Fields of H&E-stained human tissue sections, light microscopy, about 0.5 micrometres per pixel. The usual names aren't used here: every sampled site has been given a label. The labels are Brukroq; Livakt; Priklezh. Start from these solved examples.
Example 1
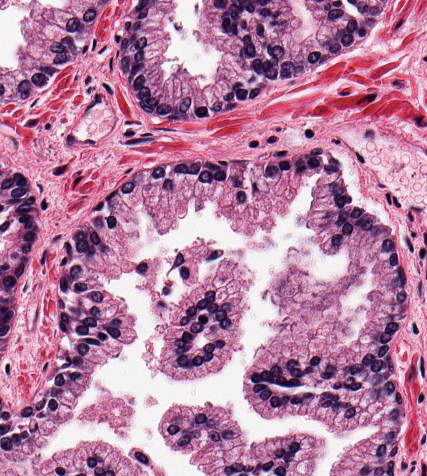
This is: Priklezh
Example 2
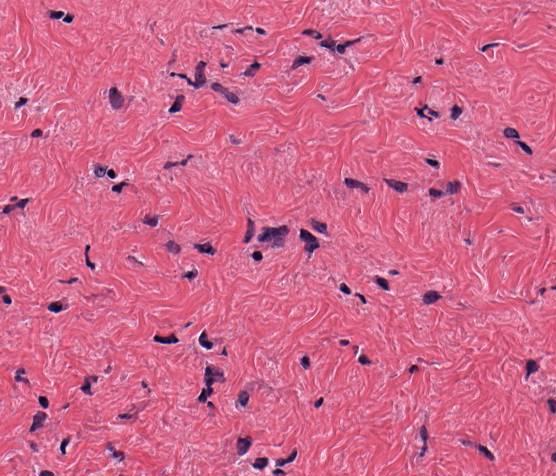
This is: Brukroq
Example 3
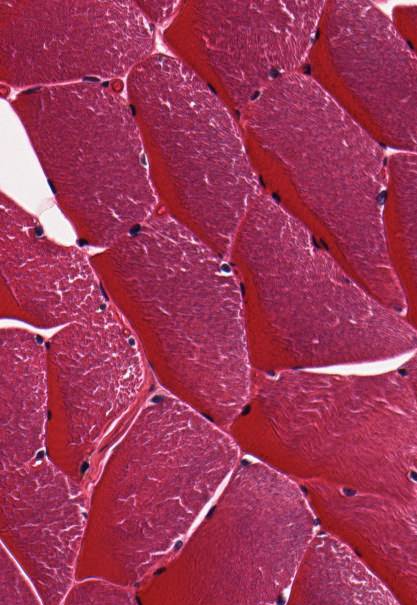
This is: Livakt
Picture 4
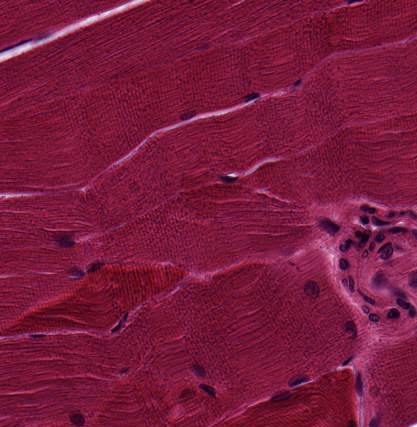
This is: Livakt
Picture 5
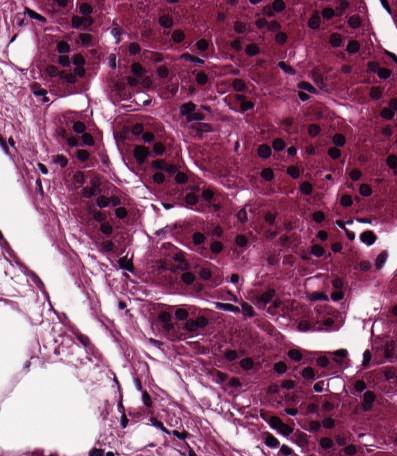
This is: Brukroq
